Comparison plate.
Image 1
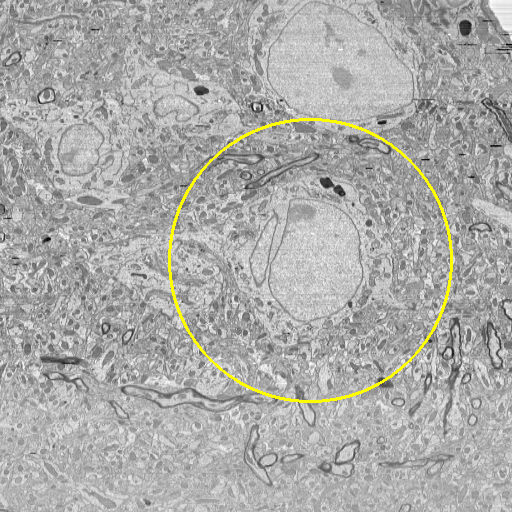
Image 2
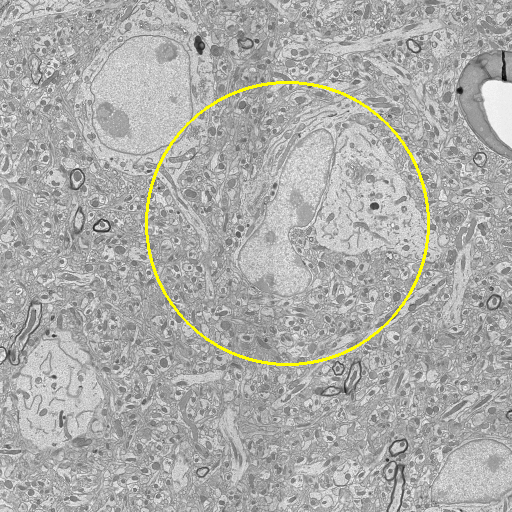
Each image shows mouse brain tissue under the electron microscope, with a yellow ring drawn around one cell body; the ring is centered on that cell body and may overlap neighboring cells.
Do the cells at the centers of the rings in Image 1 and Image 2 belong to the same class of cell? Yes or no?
no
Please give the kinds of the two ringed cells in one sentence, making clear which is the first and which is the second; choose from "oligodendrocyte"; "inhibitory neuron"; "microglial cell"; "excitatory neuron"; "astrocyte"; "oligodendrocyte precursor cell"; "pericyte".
In the second picture the ringed cell is an oligodendrocyte precursor cell; in the first it is an excitatory neuron.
